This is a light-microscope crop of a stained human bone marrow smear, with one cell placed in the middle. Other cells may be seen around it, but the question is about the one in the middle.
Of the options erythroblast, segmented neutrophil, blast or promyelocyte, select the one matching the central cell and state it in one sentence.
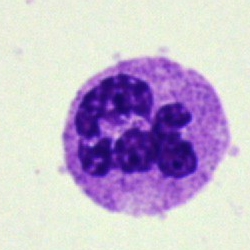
The cell of interest, in the center, is a segmented neutrophil.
